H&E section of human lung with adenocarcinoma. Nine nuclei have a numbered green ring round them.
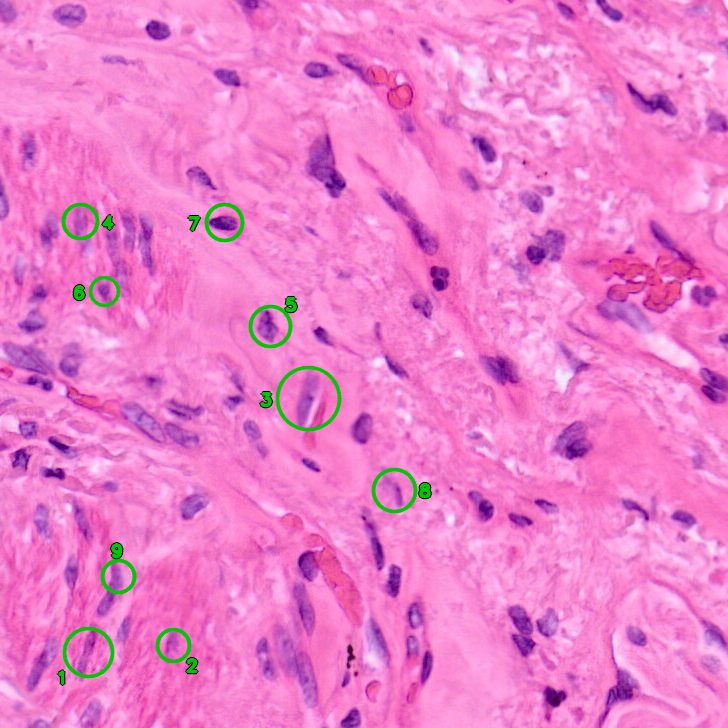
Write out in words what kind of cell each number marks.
Cells 1, 2, 4, 6 and 9 are smooth muscle cells or pericytes. Cell 3 is an endothelial cell. Cells 5 and 8 are fibroblasts. Cell 7 is a mast cell.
